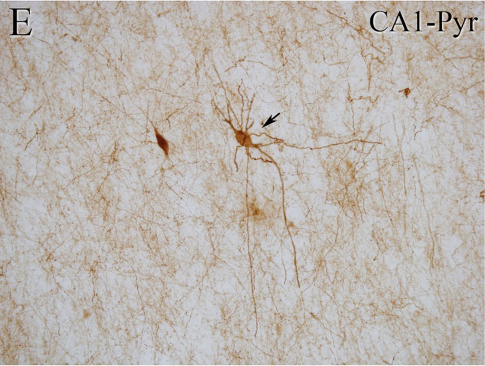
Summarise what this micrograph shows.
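A single neuron in the hippocampus stands out in dark brown, its cell body giving off several long branching dendrites that spread in many directions. A second, smaller stained cell body lies to its left, and the whole background is crossed by a dense meshwork of fine brown fibres on a pale field.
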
